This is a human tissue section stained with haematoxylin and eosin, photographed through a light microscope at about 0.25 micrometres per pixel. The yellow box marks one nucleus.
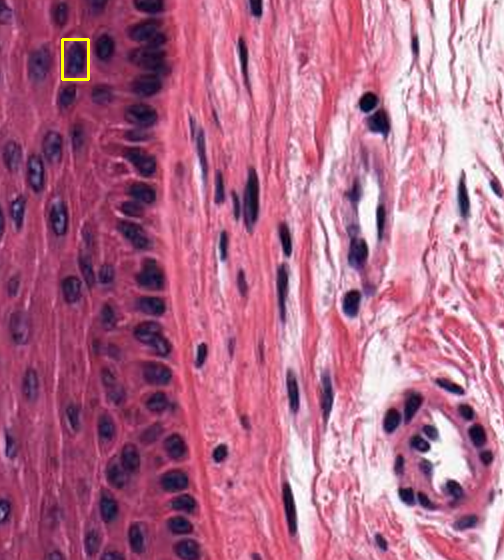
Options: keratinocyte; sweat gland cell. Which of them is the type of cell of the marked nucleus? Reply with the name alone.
keratinocyte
